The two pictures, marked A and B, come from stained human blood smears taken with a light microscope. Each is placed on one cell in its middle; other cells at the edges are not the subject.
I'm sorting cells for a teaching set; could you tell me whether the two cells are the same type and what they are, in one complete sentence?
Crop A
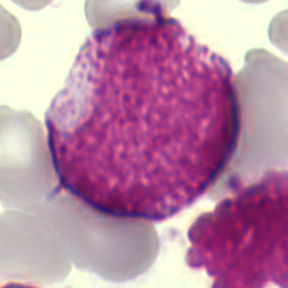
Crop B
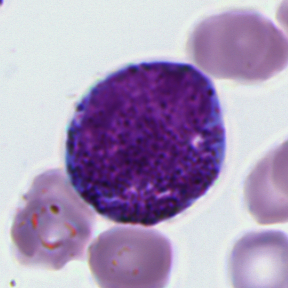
Yes, it is promyelocytes that both crops show.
